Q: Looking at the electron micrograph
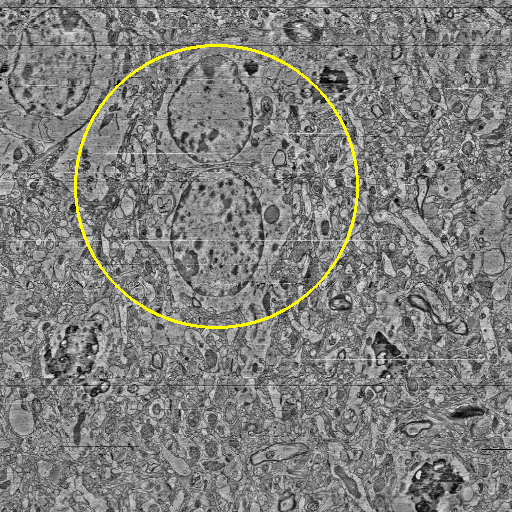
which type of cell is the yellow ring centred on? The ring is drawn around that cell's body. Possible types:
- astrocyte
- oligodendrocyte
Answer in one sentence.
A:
The yellow ring is centred on an astrocyte.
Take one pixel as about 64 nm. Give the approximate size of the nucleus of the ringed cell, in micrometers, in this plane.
The nucleus has a long axis of about 8 micrometres and a short axis of about 6 micrometres in this plane.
